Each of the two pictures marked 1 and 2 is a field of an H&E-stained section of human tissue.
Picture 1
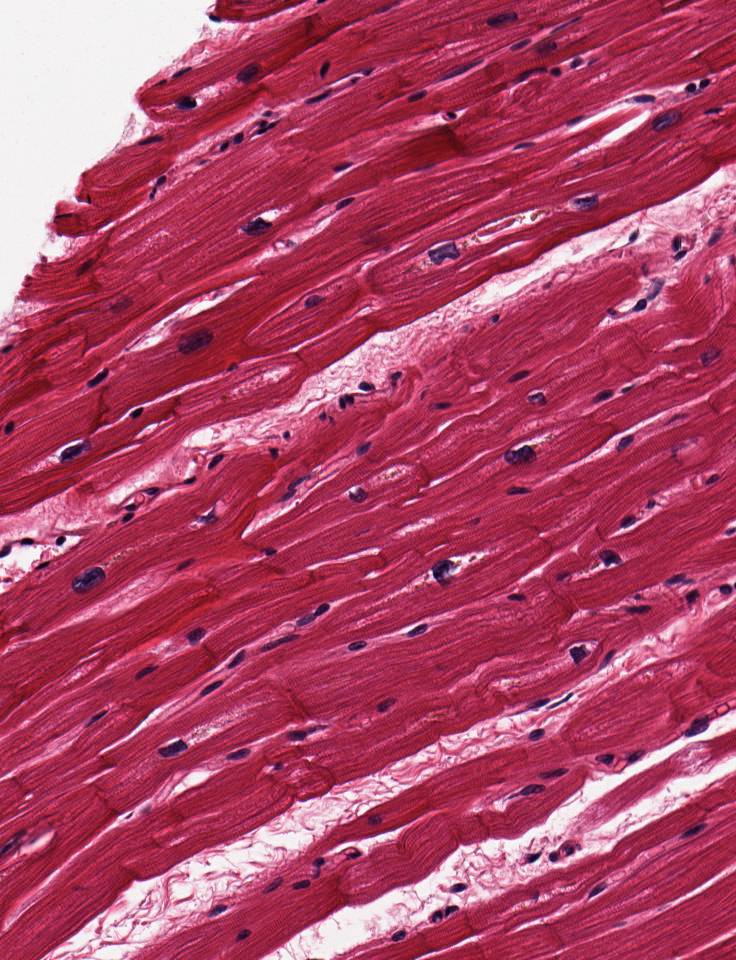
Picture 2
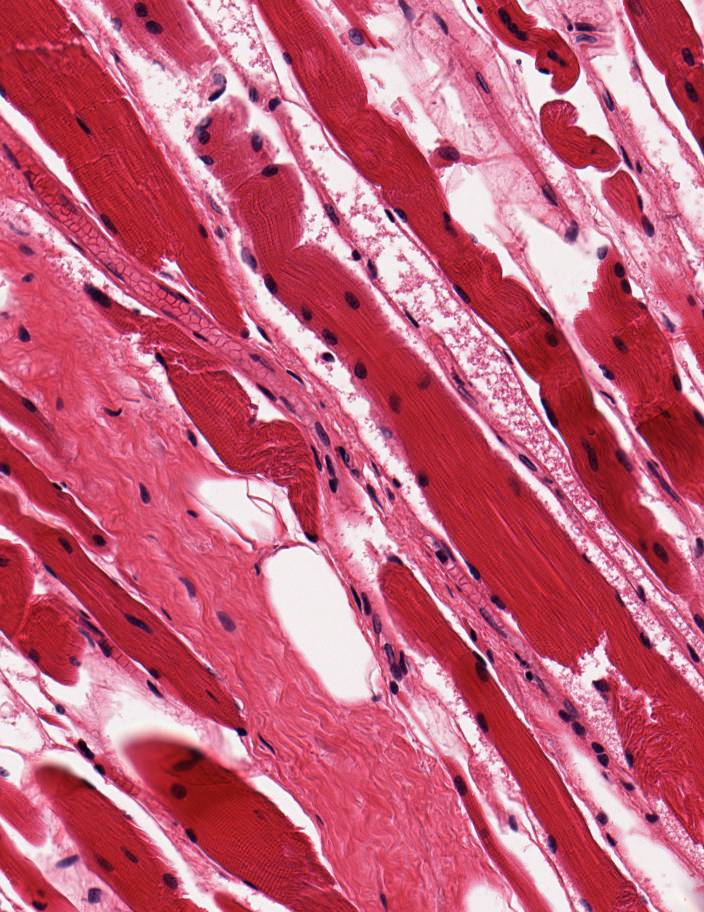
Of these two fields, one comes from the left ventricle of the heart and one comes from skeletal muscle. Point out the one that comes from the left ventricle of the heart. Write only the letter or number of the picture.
1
